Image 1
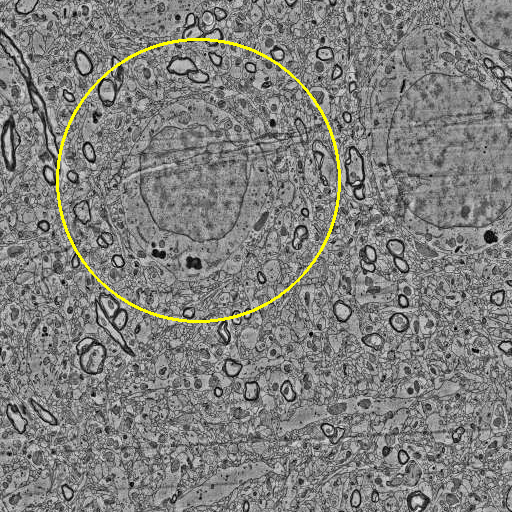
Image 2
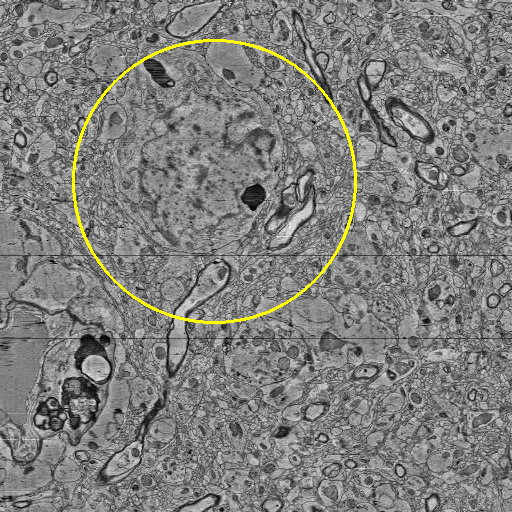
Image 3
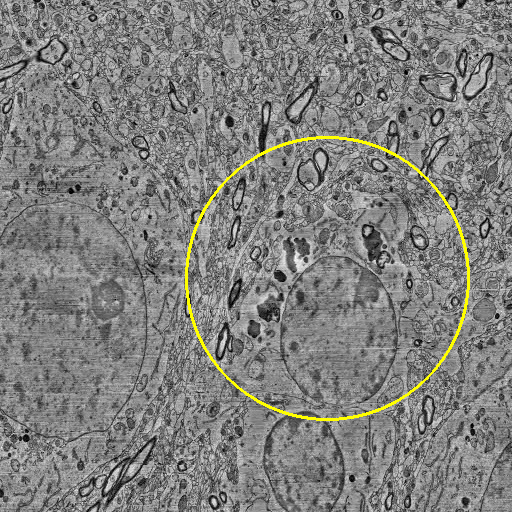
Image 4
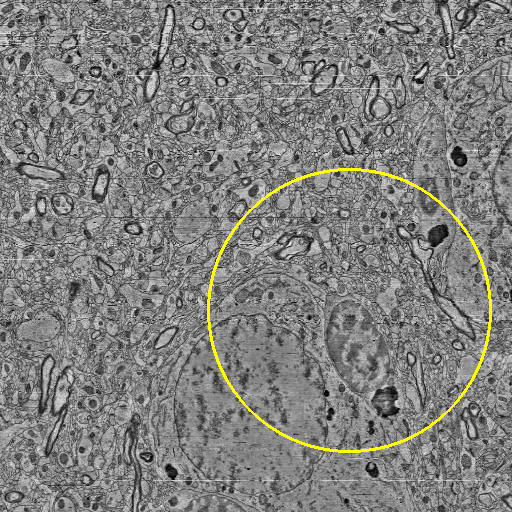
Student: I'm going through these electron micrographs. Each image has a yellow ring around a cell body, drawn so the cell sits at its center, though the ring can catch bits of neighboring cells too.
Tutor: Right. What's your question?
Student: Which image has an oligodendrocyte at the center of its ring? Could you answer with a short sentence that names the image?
Image 4 shows it at the center of its ring.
